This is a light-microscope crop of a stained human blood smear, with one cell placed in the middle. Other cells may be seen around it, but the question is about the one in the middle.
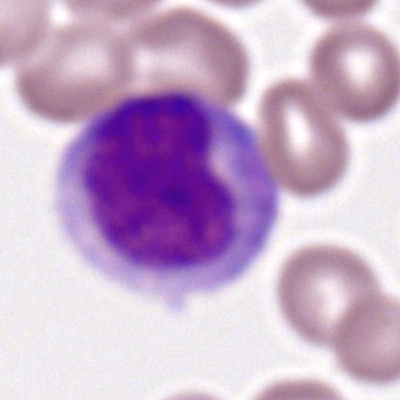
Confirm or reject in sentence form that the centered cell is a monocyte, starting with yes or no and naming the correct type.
Yes, the cell sitting in the center is a monocyte.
